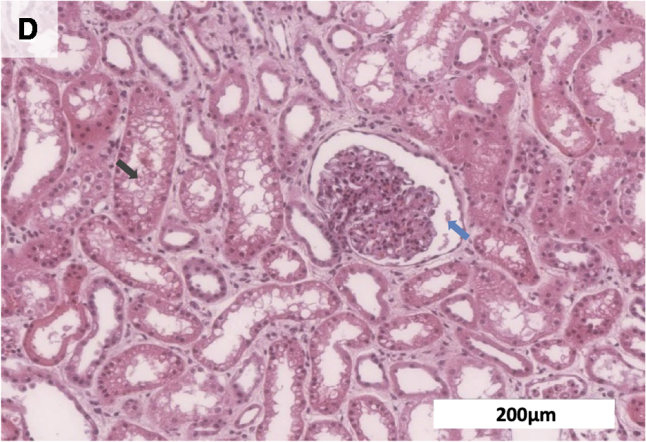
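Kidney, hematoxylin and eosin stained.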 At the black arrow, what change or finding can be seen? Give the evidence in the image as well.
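The marked tubule's epithelial cells hold many clear rounded vacuoles. The vacuolated cytoplasm looks pale and foamy next to pinker tubules.
Answer: tubular vacuolization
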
